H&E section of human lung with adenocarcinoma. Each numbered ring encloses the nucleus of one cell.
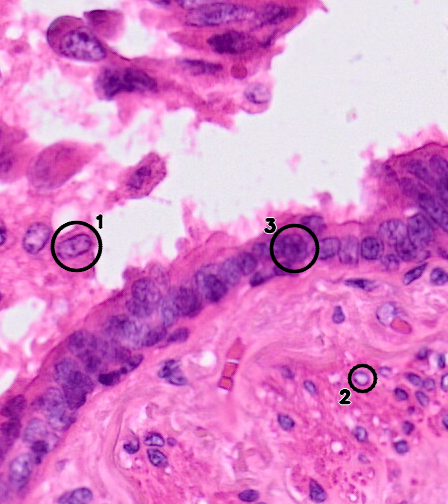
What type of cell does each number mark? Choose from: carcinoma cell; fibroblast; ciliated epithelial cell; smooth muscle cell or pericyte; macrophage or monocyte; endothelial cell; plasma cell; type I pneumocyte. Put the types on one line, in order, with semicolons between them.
macrophage or monocyte; smooth muscle cell or pericyte; ciliated epithelial cell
